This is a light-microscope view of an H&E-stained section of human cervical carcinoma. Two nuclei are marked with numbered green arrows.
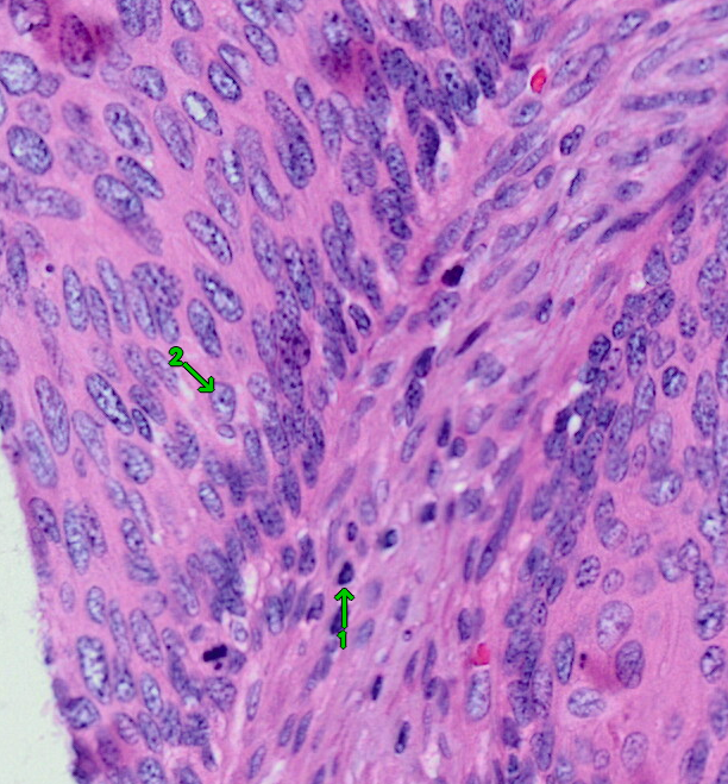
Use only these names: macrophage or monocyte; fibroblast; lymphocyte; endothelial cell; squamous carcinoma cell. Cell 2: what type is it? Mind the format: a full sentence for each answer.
The nucleus with number 2 is that of a squamous carcinoma cell.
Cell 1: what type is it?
The correct answer for cell 1 is a lymphocyte.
